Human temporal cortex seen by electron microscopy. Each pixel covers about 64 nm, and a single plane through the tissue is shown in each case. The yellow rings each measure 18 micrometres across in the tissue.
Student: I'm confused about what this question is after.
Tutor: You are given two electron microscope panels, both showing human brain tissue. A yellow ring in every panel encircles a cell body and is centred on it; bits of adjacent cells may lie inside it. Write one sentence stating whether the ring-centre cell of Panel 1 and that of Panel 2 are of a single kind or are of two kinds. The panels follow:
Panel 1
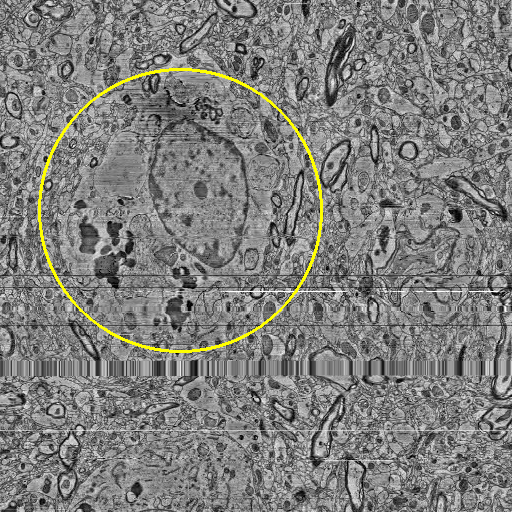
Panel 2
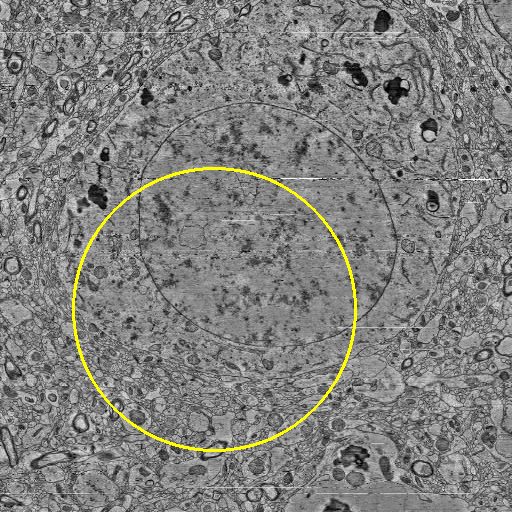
Here, the Panel 1 ring-centre cell and the Panel 2 ring-centre cell are of two kinds.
